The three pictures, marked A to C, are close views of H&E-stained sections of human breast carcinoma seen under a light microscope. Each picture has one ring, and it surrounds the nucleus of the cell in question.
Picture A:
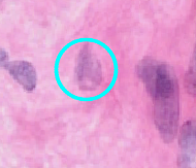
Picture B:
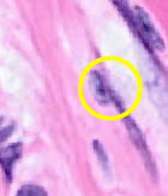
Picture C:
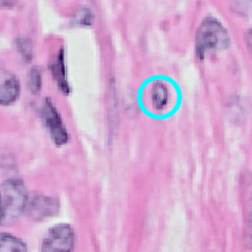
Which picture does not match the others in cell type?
A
